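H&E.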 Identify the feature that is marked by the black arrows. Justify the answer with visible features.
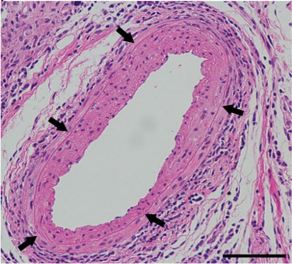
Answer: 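The arrows point to a thin wavy pink line encircling the lumen within the wall. A layer of cells lies between that line and the lumen. On this evidence: internal elastic lamina.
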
